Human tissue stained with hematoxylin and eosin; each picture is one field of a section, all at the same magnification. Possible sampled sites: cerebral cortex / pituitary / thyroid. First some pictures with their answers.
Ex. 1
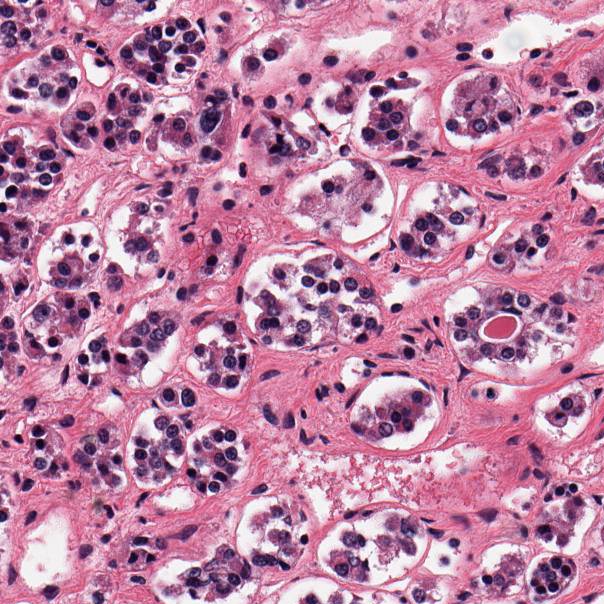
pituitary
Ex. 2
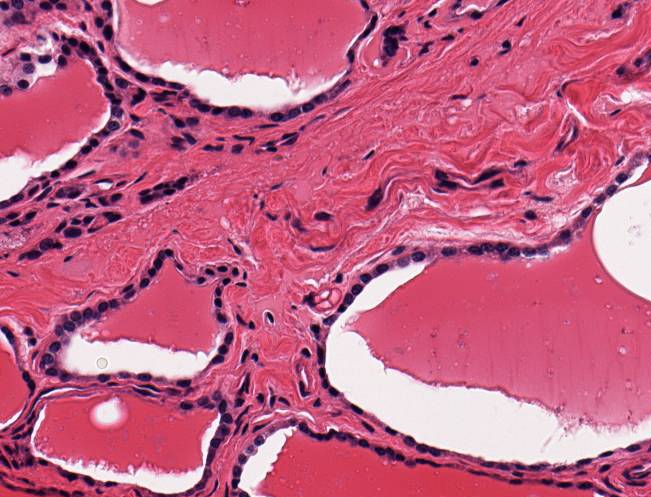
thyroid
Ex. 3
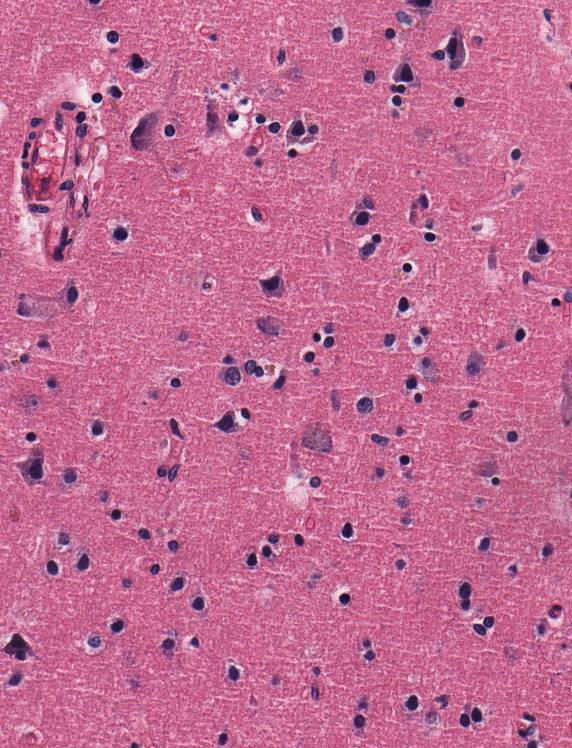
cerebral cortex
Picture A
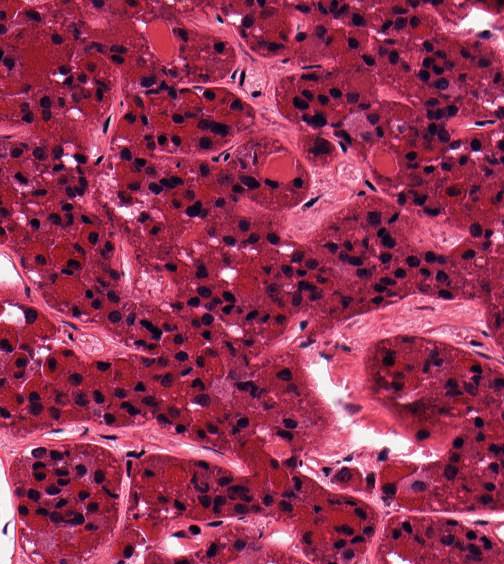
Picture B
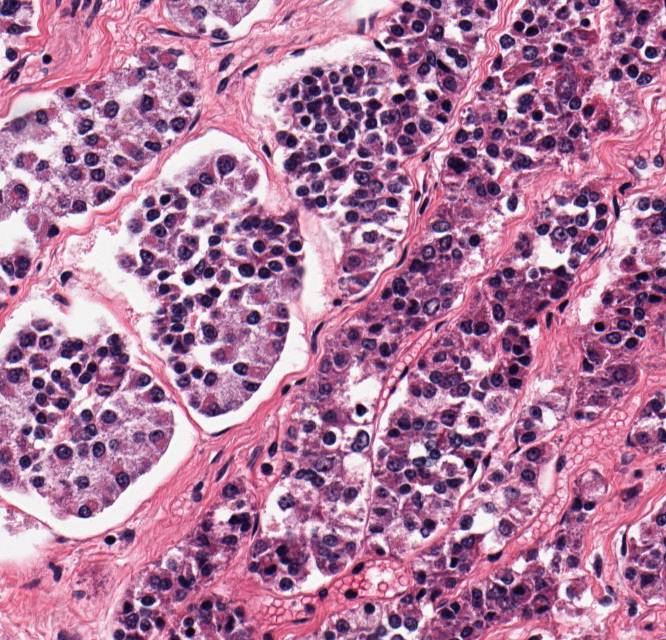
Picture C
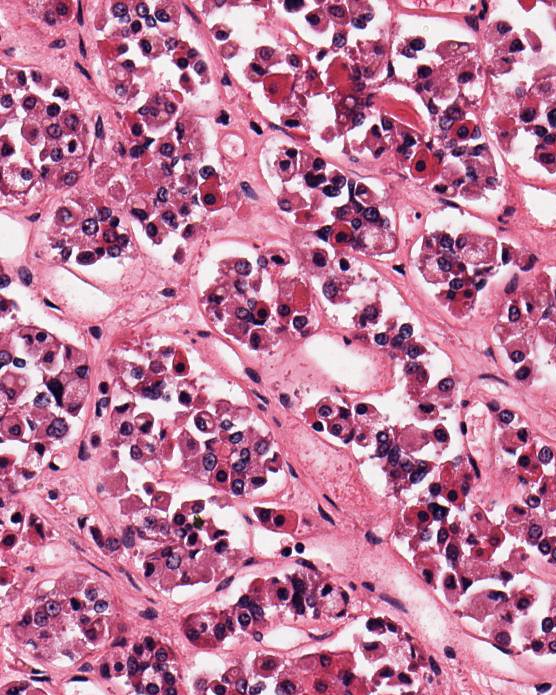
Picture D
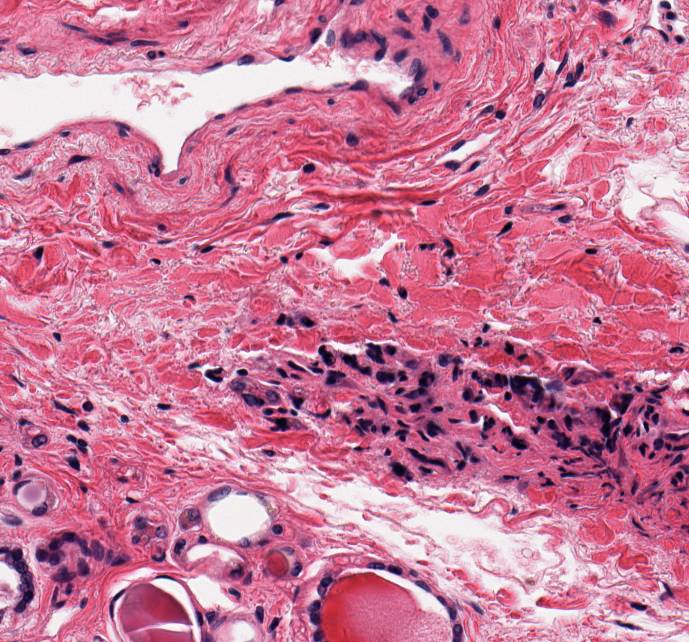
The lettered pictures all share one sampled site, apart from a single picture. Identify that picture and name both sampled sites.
D differs and shows thyroid; the others show pituitary.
